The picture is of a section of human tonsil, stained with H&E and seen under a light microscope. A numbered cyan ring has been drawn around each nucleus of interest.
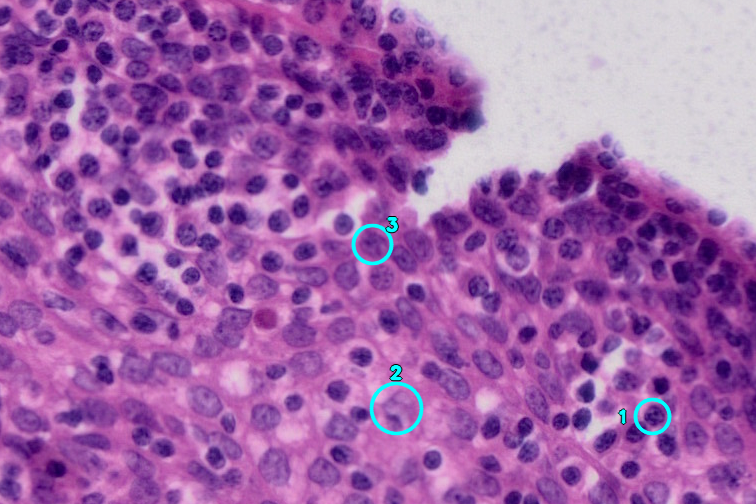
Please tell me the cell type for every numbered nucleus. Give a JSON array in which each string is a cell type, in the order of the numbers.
["plasma cell", "squamous epithelial cell", "squamous epithelial cell"]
